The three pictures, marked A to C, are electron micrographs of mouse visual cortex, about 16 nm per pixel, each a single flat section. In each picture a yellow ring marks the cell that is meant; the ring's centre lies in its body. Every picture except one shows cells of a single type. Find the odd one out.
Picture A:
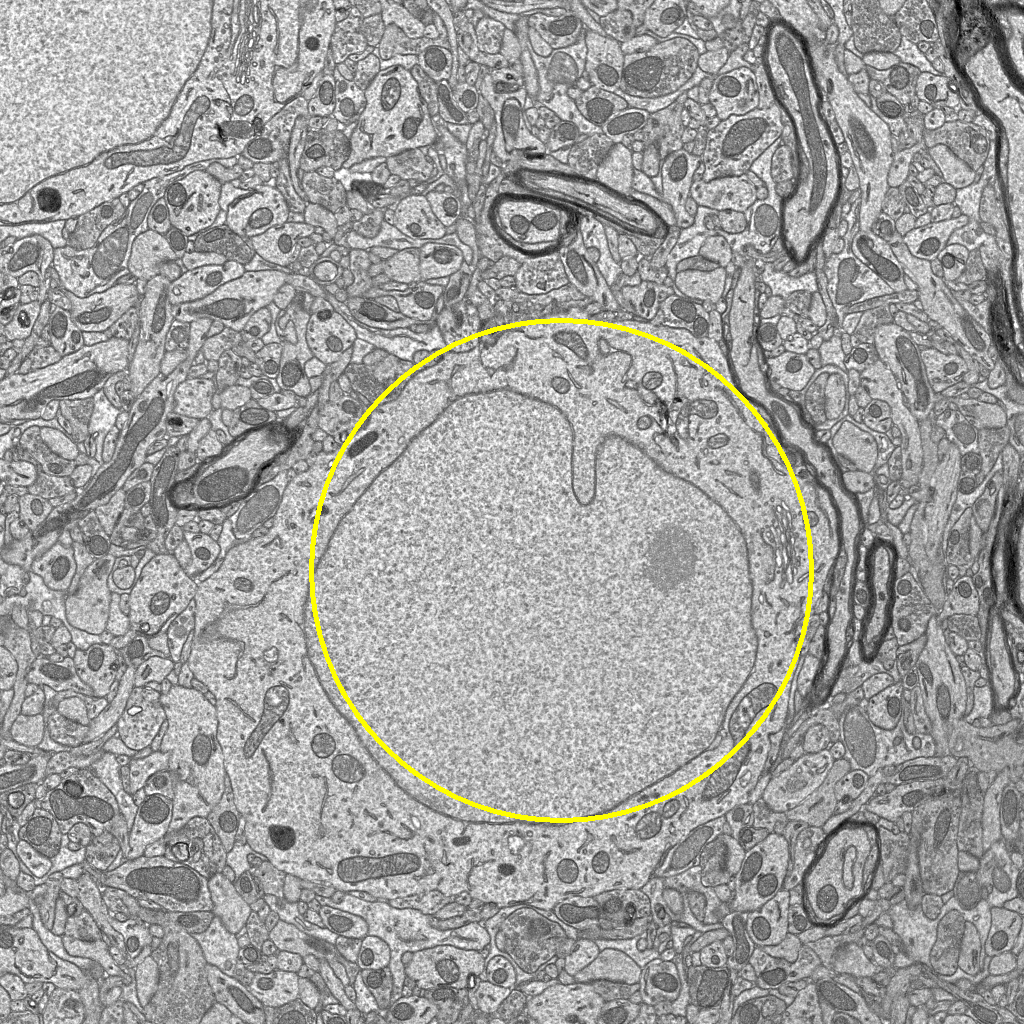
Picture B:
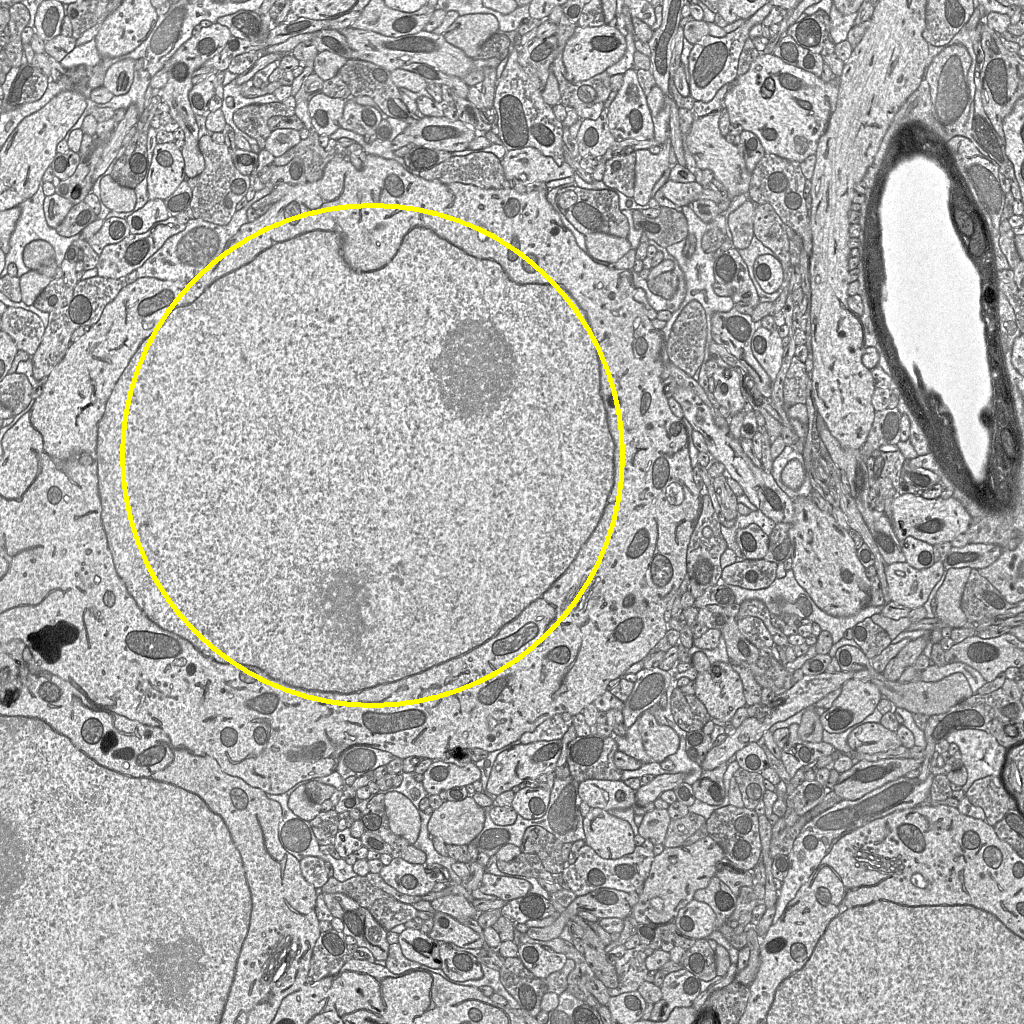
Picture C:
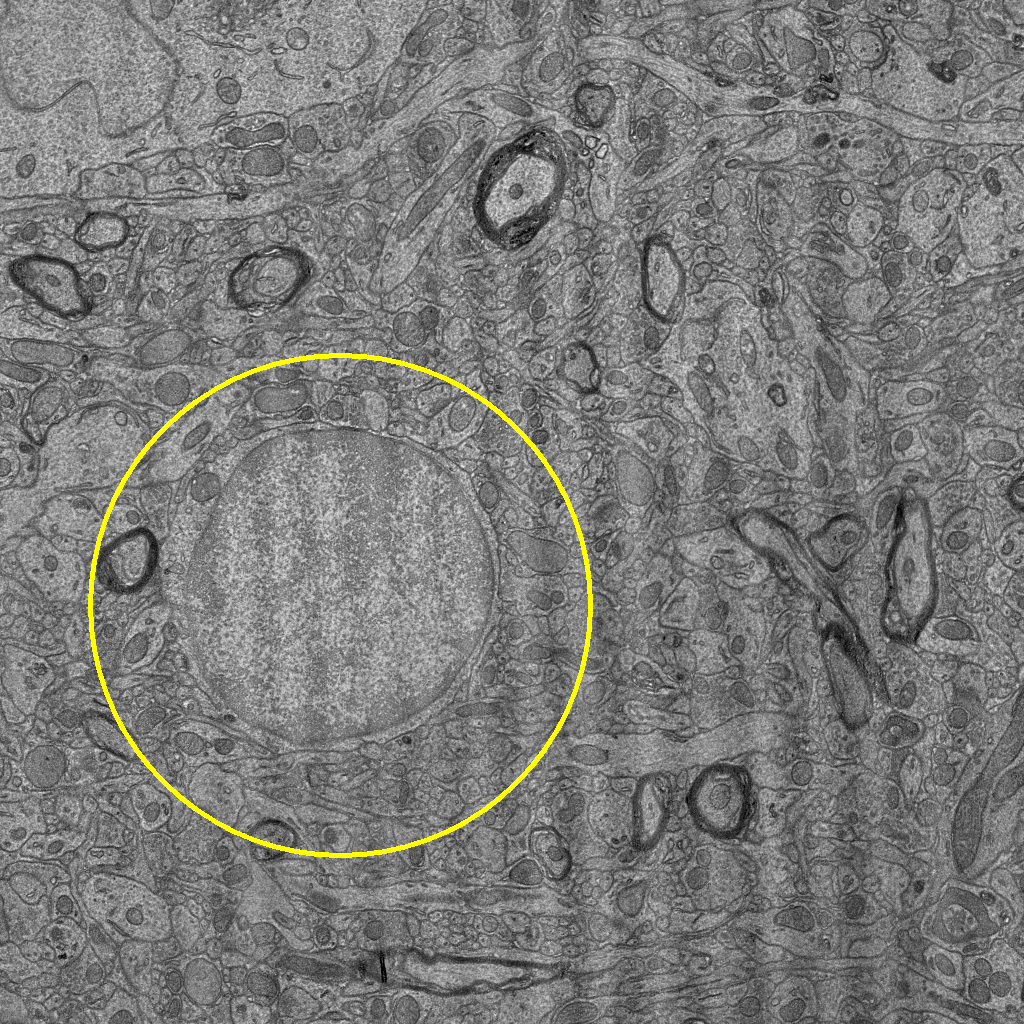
All pictures except C show excitatory neurons; picture C shows an oligodendrocyte.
